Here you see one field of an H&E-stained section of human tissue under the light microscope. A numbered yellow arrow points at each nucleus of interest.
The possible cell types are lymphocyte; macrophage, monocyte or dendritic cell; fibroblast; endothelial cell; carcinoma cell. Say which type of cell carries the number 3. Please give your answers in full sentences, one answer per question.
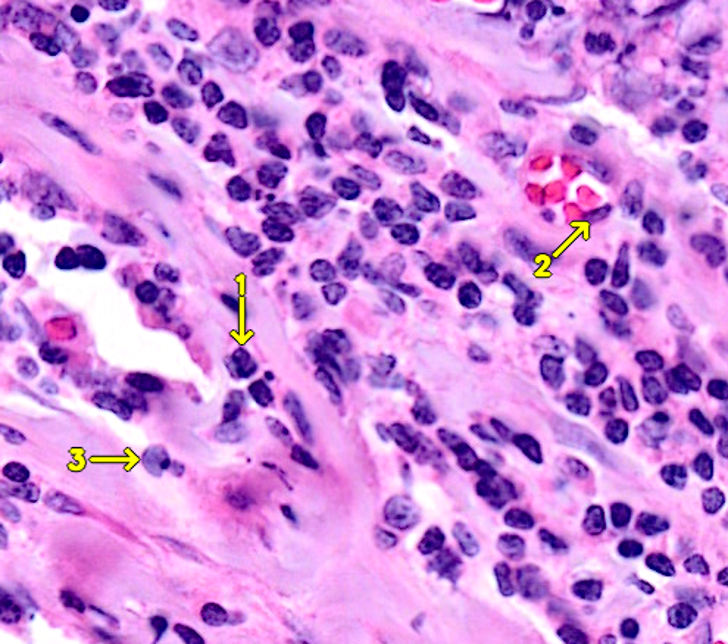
Numbered cell 3 is a lymphocyte in this tissue section.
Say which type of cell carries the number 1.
Cell 1 in the field of view is a lymphocyte.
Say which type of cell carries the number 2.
Cell 2 in the field is an endothelial cell.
